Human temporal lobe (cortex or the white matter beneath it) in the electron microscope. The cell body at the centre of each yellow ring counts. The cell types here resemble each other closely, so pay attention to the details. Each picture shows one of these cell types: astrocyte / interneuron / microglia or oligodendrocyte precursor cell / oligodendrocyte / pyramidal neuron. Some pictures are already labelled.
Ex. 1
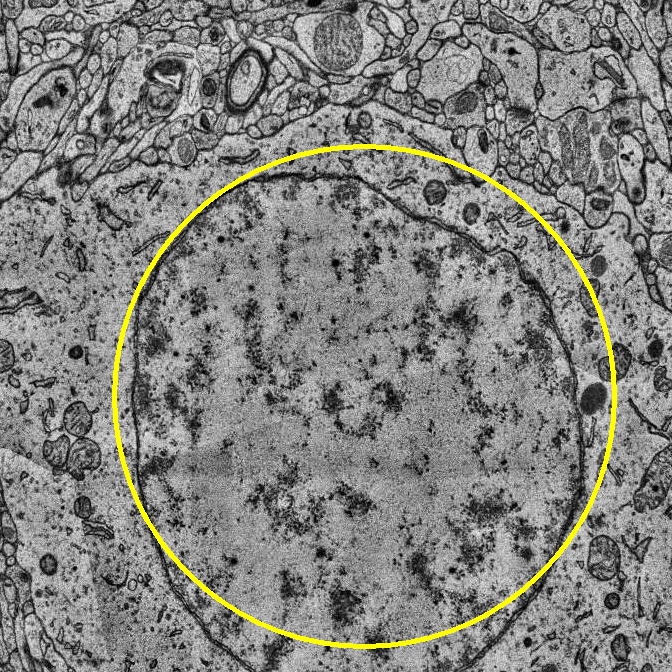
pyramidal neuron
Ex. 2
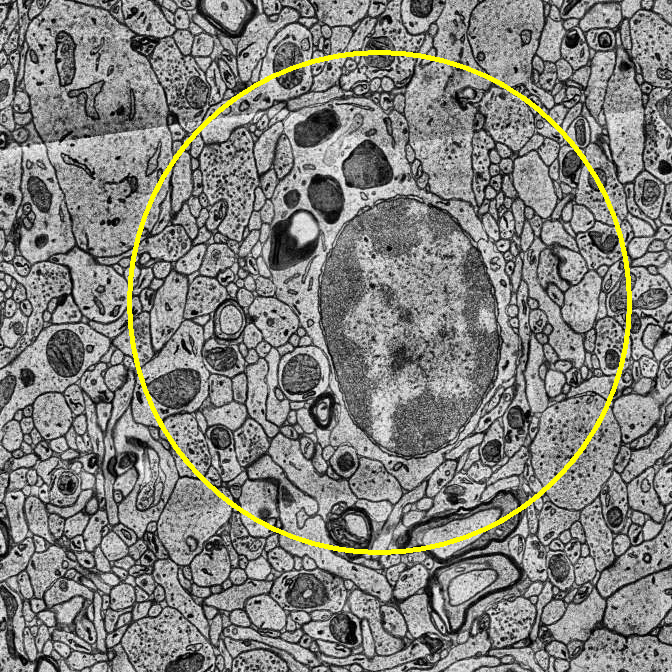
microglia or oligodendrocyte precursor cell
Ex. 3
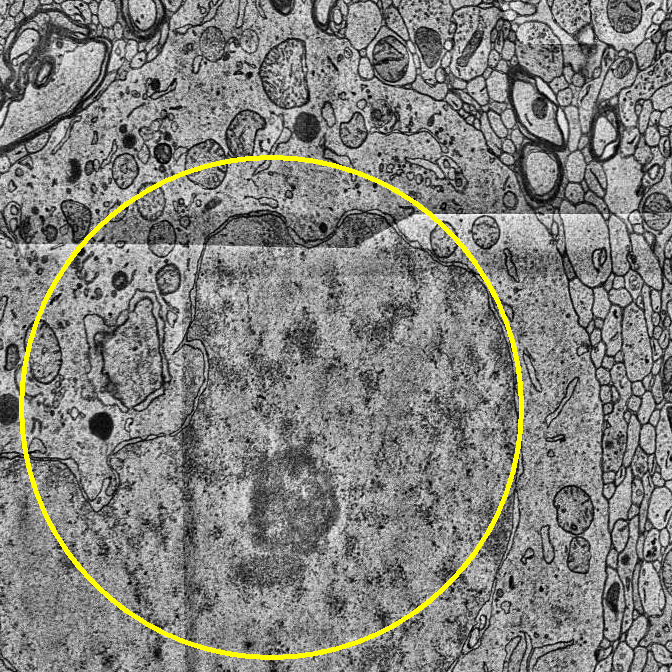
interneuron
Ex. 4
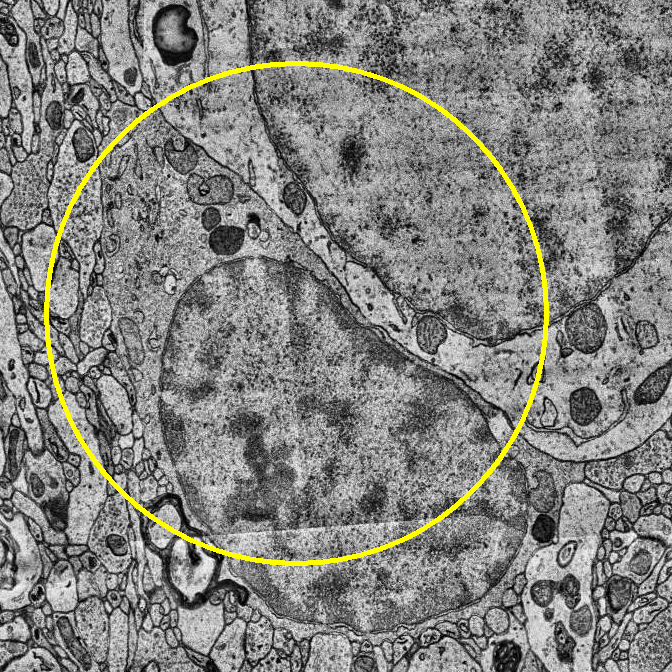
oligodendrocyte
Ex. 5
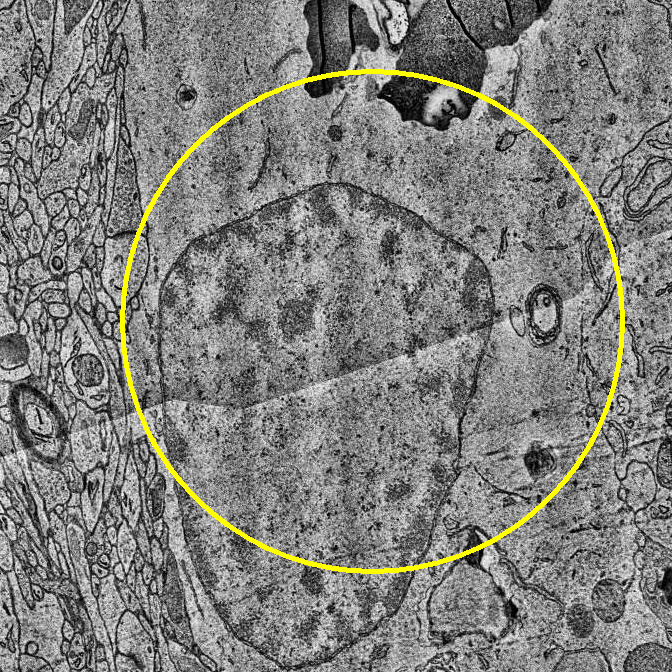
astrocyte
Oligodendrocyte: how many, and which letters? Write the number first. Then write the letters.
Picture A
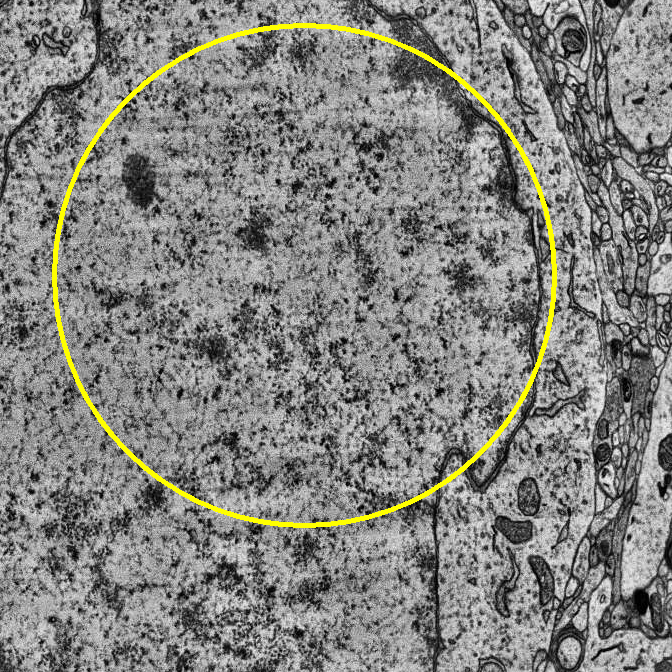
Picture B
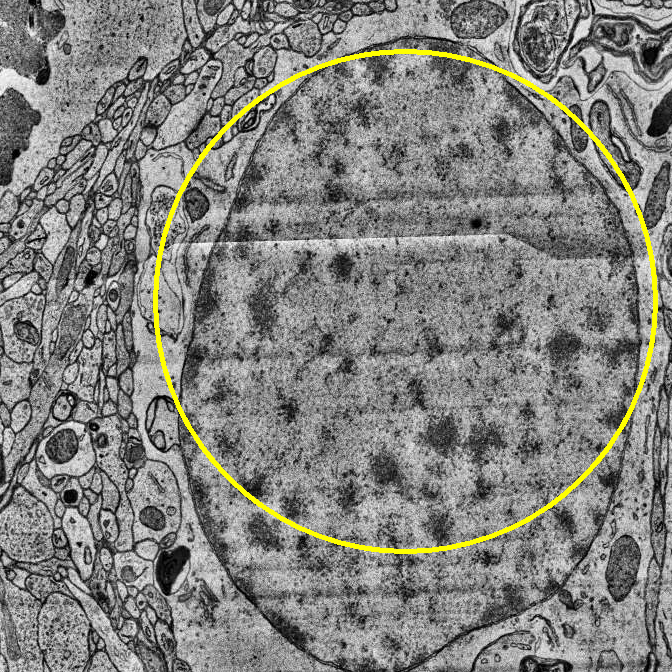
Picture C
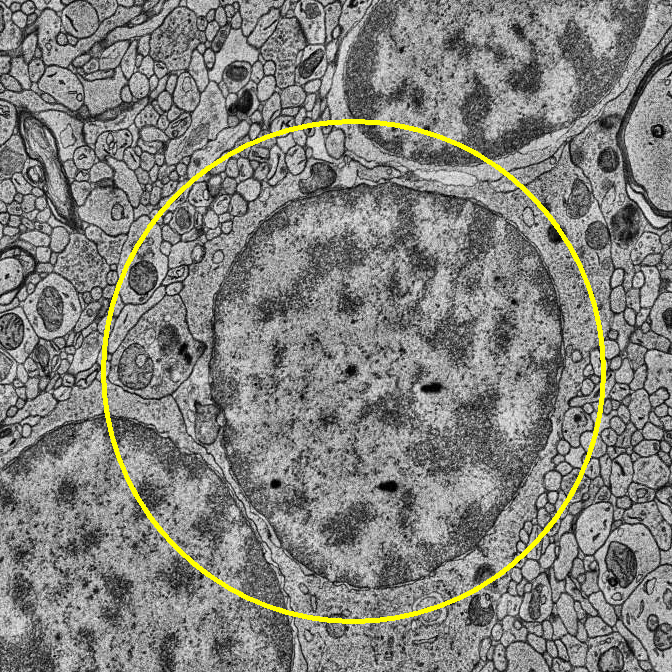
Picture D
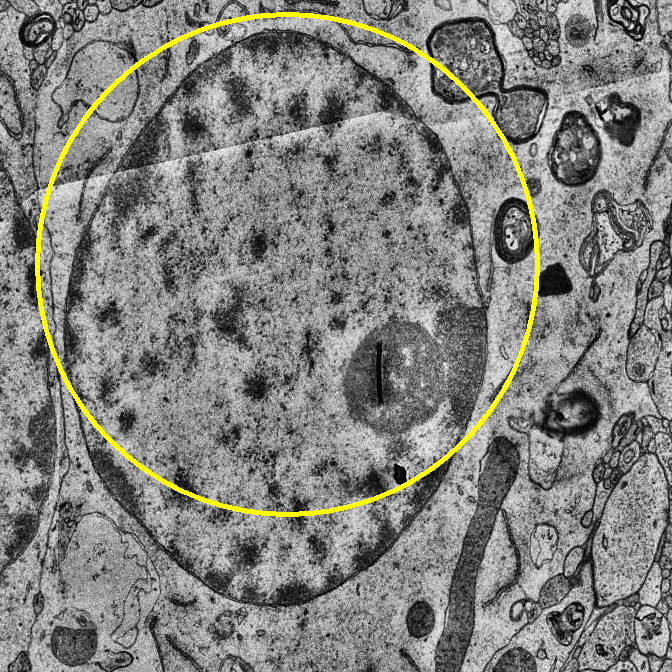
1, namely C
